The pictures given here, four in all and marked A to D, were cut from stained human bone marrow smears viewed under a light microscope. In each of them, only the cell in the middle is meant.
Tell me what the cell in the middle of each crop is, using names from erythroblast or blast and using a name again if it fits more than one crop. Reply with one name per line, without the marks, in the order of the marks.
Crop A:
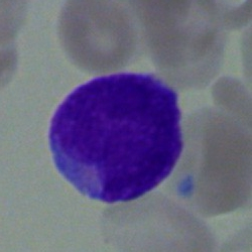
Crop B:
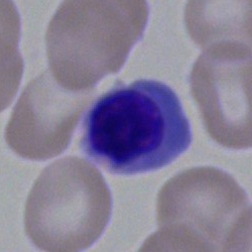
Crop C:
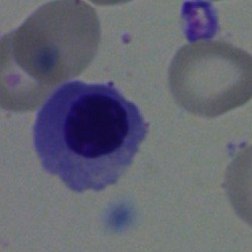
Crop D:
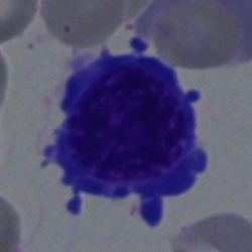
blast
erythroblast
erythroblast
erythroblast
